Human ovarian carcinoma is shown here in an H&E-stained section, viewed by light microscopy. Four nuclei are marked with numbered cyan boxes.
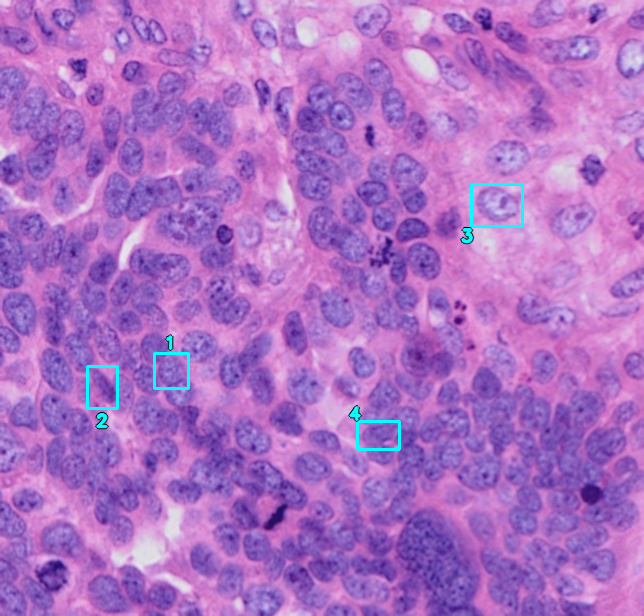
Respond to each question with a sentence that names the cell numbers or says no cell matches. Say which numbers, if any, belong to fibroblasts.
Only at number 3 is there a fibroblast among the marked cells.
